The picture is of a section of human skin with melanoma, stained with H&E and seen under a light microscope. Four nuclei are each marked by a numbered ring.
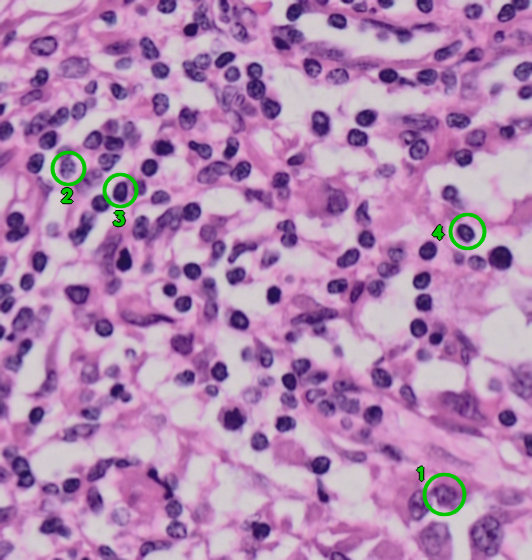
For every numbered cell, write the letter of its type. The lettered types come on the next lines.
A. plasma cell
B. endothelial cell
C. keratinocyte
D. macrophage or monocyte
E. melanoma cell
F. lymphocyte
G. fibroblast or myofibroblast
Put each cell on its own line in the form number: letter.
1: E
2: F
3: F
4: F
